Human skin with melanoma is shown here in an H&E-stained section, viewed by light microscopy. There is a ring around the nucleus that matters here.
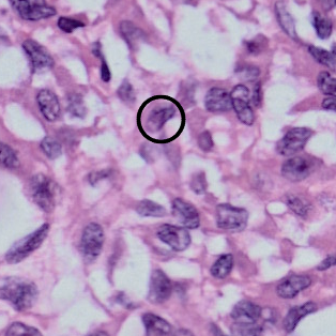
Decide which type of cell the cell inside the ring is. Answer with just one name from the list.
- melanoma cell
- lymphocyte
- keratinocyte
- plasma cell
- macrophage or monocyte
melanoma cell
